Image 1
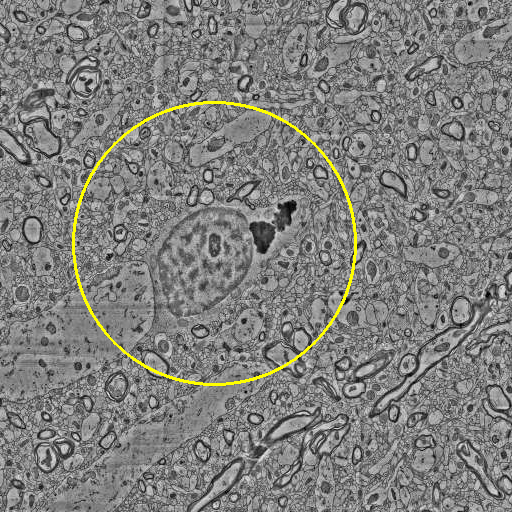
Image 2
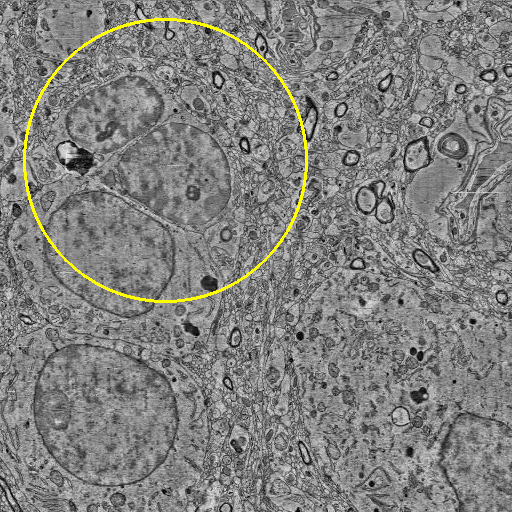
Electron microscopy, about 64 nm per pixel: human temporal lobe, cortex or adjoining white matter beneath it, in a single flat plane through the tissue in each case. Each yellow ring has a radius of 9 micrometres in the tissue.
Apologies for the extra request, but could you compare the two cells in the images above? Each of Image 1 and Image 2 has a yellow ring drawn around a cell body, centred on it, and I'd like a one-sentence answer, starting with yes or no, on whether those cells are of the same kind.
Yes, both cells are of the same kind.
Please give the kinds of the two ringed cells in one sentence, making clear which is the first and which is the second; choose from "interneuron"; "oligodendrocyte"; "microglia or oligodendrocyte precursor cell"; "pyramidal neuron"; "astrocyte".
In each picture the ringed cell is an oligodendrocyte.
